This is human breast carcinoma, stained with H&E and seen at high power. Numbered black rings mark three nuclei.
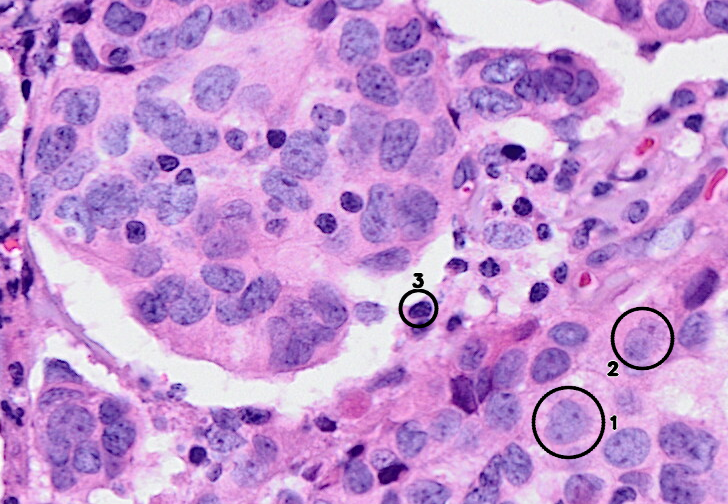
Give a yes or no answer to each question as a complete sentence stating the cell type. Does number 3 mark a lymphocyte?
Yes, the cell shown as number 3 is a lymphocyte.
